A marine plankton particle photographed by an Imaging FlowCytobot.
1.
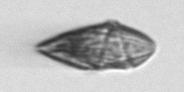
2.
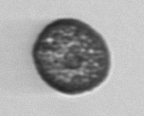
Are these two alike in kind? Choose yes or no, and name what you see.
No. First Gyrodinium, second Umbilicosphaera sibogae.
